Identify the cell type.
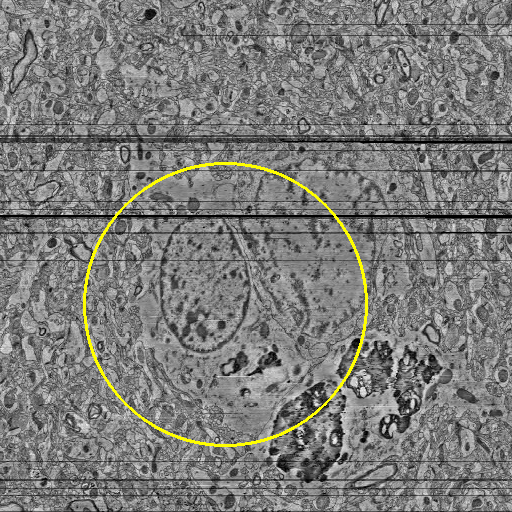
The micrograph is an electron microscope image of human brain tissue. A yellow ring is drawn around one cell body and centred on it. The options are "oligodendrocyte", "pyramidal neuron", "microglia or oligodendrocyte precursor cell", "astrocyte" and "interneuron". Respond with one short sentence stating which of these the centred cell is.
The cell body in the ring belongs to an astrocyte.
